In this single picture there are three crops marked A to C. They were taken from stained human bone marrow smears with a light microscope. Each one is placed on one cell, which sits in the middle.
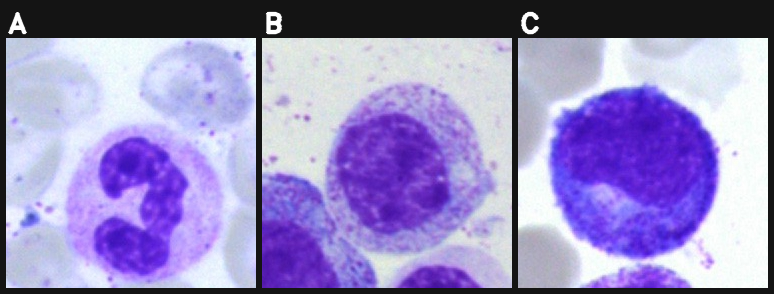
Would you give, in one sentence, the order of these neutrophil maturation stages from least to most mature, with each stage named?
The sequence in which maturity rises is crop C (a promyelocyte), crop B (a myelocyte) and crop A (a segmented neutrophil).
